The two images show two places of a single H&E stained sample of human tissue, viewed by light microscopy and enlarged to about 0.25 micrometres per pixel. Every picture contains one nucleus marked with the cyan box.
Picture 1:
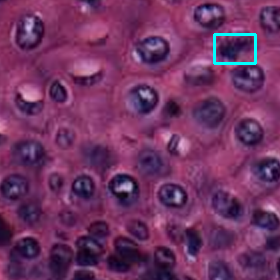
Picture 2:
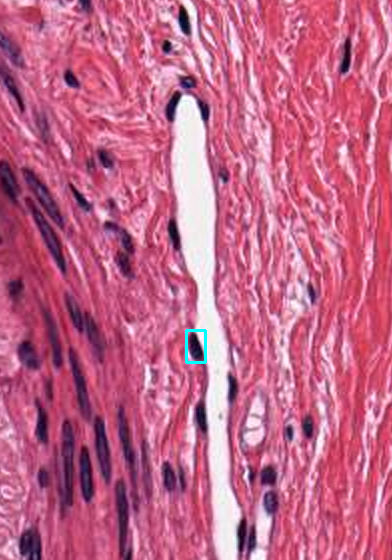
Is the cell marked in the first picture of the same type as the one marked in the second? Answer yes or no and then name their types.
No, the first is a squamous epithelial cell and the second an endothelial cell.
